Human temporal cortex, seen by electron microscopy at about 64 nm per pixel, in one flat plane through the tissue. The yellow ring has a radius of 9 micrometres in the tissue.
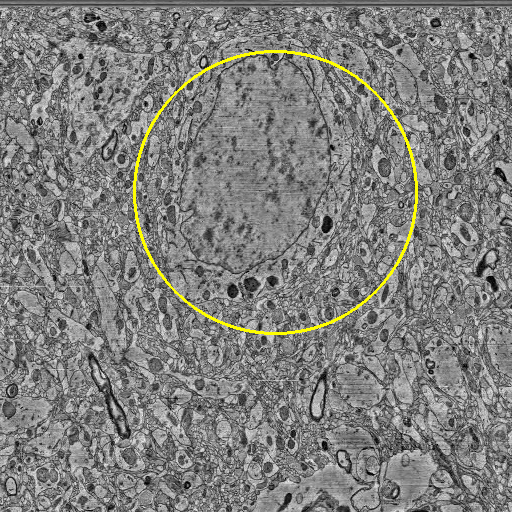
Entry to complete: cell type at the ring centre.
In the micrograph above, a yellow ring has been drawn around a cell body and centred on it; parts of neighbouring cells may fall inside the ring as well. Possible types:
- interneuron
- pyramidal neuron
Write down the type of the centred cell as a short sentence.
The ring is centred on a pyramidal neuron.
